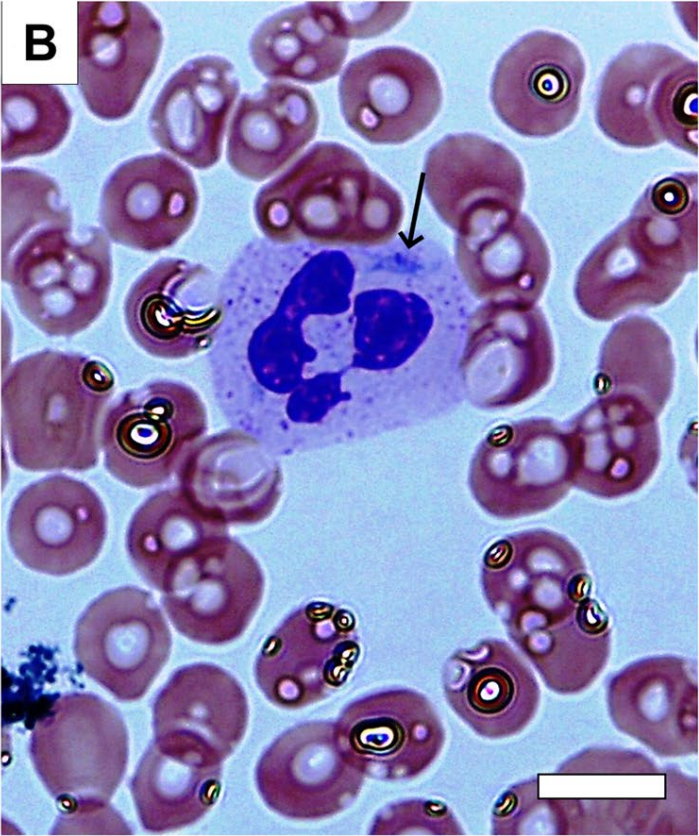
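Peripheral blood smear with a single segmented granulocyte among erythrocytes. The granulocyte nucleus is dark purple and divided into several connected lobes. Its cytoplasm is abundant, pale blue-grey and finely dotted. Near the upper margin of the cytoplasm lies a small pale blue inclusion. The surrounding erythrocytes are pink-red, anucleate discs with central pallor, some overlapping.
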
